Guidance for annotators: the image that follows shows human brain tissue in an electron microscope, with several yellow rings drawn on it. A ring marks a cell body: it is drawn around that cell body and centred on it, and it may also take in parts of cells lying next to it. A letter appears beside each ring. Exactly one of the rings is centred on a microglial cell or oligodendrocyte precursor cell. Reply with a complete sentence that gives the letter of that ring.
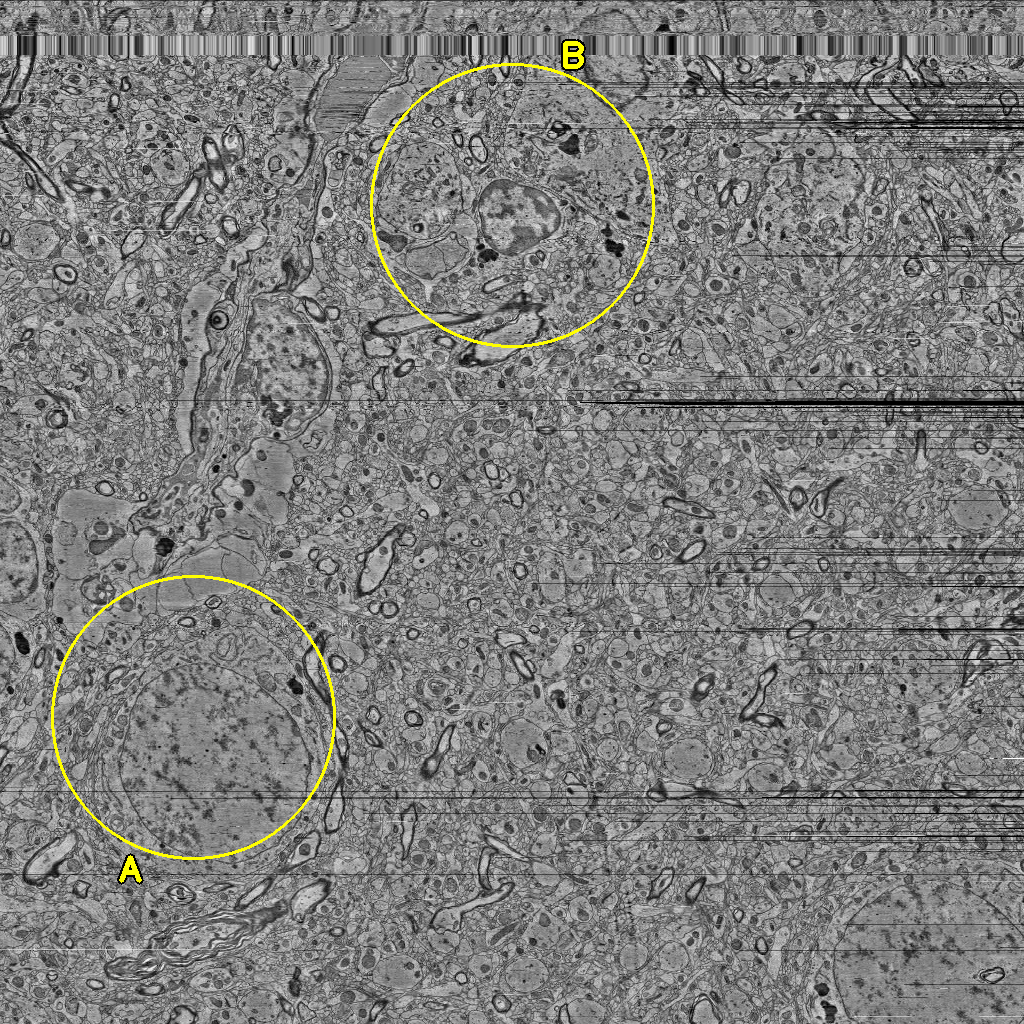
The ring lettered B is centred on that cell.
